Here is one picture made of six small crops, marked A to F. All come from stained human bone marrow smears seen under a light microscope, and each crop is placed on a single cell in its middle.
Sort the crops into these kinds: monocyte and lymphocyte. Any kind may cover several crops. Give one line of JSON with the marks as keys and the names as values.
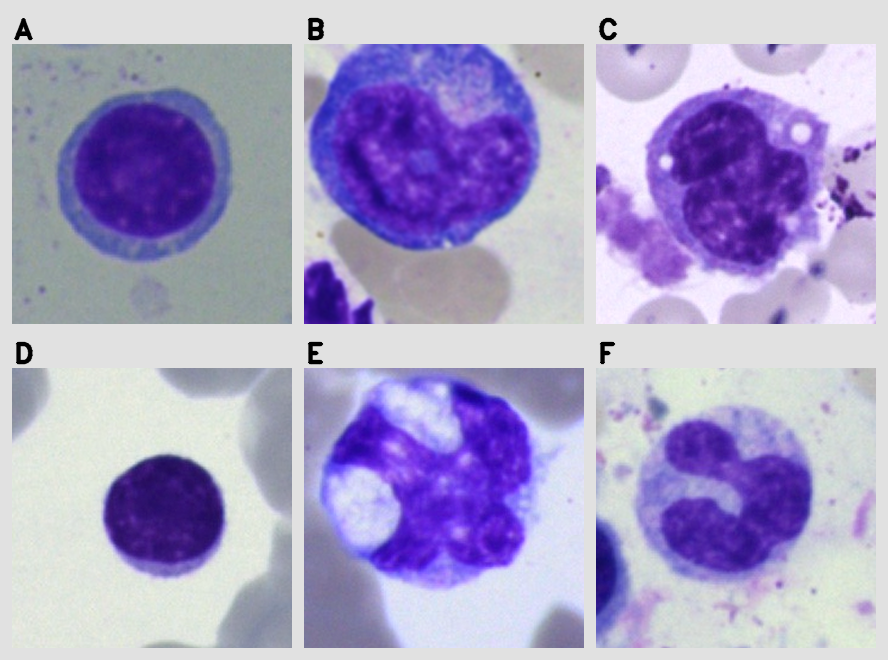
{"A": "lymphocyte", "B": "monocyte", "C": "monocyte", "D": "lymphocyte", "E": "monocyte", "F": "monocyte"}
